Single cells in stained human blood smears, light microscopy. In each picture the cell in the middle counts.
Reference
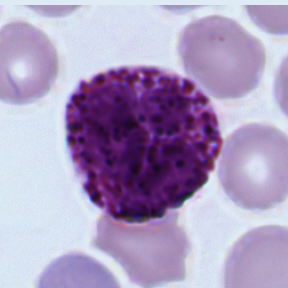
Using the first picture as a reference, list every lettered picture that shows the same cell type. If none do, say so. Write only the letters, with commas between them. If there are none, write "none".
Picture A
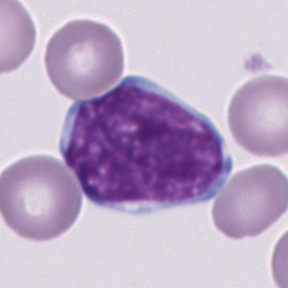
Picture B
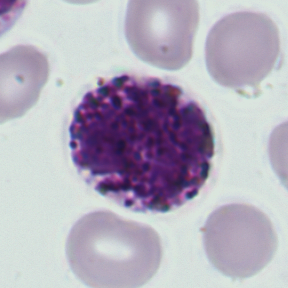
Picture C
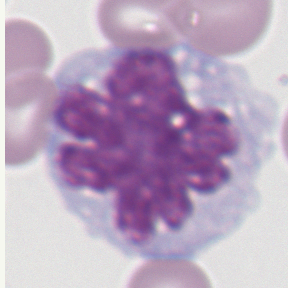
B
